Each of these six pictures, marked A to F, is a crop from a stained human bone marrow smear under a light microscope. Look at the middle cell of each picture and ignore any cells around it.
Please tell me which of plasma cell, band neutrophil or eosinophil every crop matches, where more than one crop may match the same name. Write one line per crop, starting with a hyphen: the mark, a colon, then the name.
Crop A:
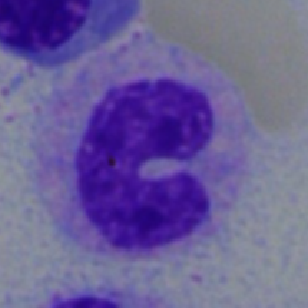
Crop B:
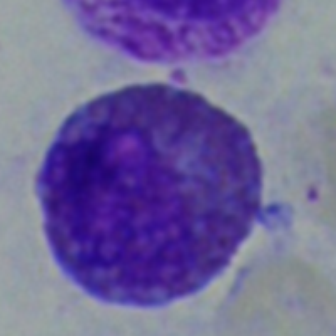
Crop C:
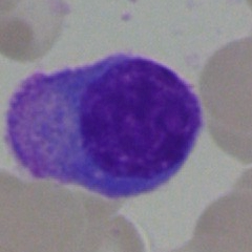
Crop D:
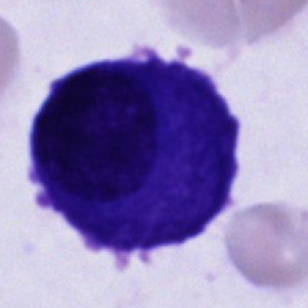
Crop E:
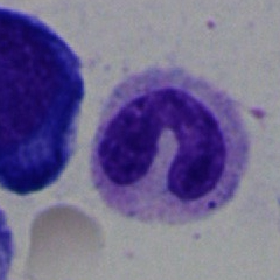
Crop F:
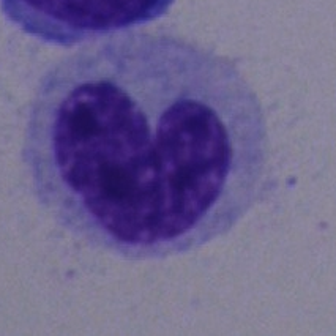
- A: band neutrophil
- B: eosinophil
- C: plasma cell
- D: plasma cell
- E: band neutrophil
- F: band neutrophil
